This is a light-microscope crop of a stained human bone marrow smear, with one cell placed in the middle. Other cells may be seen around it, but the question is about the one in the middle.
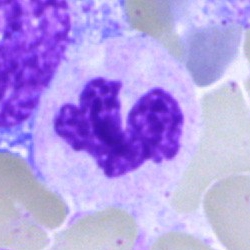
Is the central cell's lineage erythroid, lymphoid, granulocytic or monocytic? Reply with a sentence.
Lineage classification of the central cell is granulocytic.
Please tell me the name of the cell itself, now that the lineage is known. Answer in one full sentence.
Where the crop is centred, there is a segmented neutrophil.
